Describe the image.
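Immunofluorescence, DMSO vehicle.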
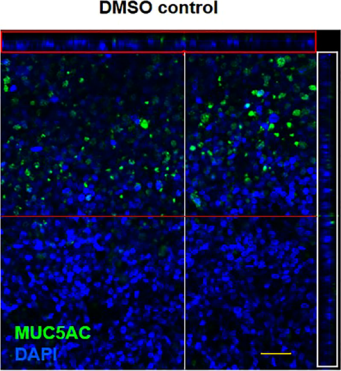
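The blue nuclei are small, oval and crowded, forming a continuous layer. Scattered through it, mostly in the upper half of the field, are many small rounded green cells, each a compact dot or blob of cytoplasmic label beside or over a nucleus; most cells are unlabelled. Thin strips along the top and right edge show orthogonal cross-sections through the layer, in which the green lies within the thin epithelial sheet.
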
